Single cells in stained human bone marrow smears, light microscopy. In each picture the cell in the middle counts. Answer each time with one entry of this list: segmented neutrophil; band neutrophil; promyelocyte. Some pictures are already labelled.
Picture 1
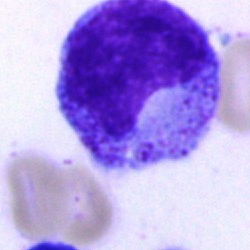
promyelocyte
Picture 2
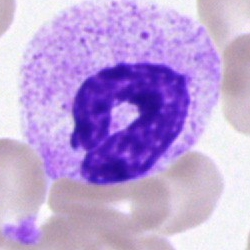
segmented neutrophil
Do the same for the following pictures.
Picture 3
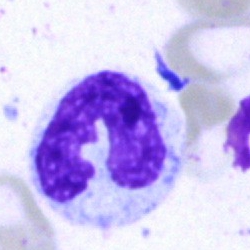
segmented neutrophil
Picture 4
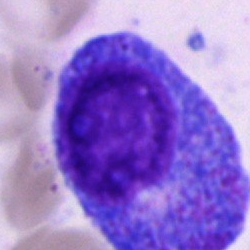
promyelocyte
